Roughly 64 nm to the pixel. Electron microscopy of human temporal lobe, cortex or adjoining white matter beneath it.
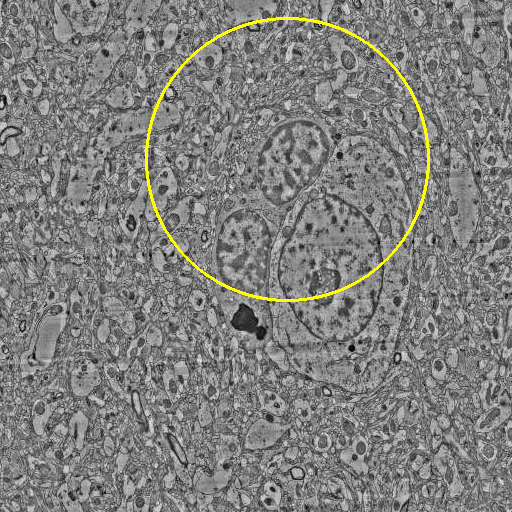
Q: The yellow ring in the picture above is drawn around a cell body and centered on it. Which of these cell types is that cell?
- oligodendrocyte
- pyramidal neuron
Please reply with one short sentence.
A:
The cell body at the ring's center belongs to an oligodendrocyte.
